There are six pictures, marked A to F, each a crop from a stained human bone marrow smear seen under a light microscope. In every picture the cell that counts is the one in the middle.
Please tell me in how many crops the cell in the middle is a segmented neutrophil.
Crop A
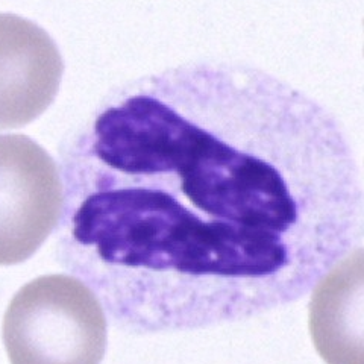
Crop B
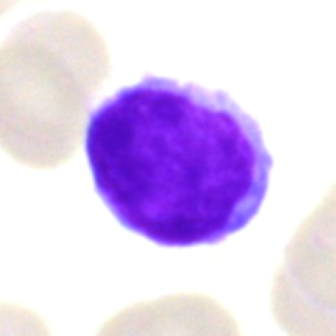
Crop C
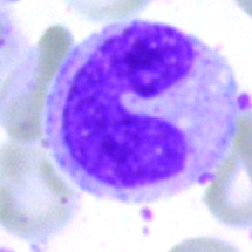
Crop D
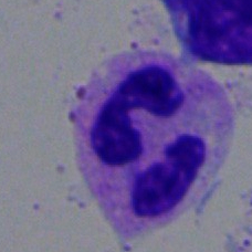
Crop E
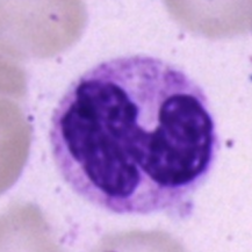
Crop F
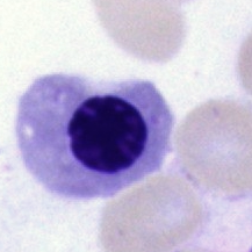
3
